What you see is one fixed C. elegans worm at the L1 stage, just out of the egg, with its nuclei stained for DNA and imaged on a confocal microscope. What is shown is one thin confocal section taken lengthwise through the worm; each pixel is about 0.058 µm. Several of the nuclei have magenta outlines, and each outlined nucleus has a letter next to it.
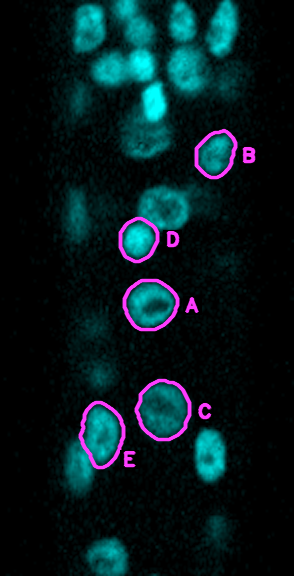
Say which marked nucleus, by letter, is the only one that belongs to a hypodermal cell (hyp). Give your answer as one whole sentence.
The nucleus of a hypodermal cell (hyp) is C.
